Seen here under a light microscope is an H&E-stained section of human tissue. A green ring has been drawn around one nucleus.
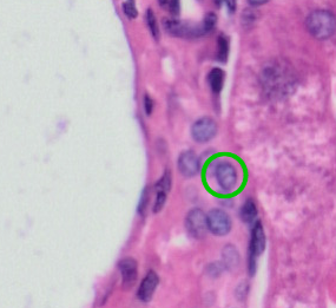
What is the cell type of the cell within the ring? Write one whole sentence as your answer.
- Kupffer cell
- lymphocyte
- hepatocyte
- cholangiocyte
For the purposes of cell typing, the cell within the ring is categorized as a cholangiocyte.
